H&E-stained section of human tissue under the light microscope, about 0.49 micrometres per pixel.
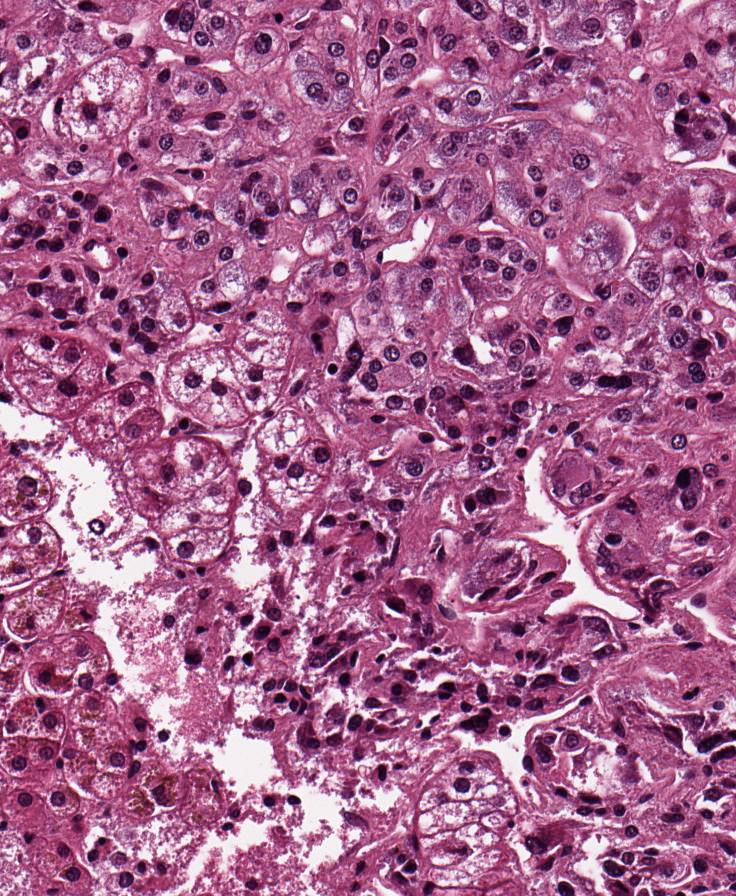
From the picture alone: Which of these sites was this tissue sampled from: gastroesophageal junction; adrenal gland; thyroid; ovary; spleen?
adrenal gland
